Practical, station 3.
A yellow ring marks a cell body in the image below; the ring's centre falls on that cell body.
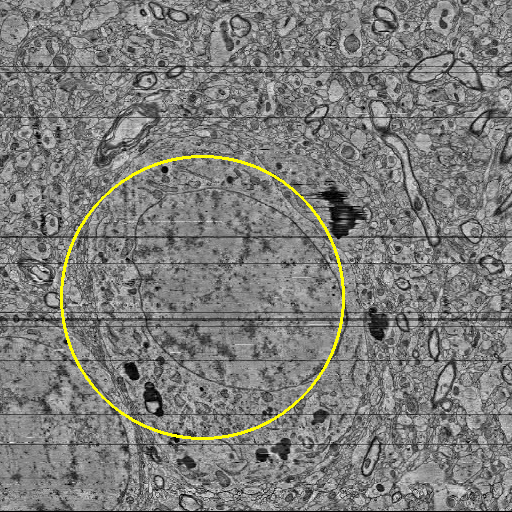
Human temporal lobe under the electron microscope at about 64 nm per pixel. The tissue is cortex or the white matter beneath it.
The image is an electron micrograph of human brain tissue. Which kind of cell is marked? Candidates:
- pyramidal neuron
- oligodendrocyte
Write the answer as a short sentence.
The marked cell body is that of a pyramidal neuron.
